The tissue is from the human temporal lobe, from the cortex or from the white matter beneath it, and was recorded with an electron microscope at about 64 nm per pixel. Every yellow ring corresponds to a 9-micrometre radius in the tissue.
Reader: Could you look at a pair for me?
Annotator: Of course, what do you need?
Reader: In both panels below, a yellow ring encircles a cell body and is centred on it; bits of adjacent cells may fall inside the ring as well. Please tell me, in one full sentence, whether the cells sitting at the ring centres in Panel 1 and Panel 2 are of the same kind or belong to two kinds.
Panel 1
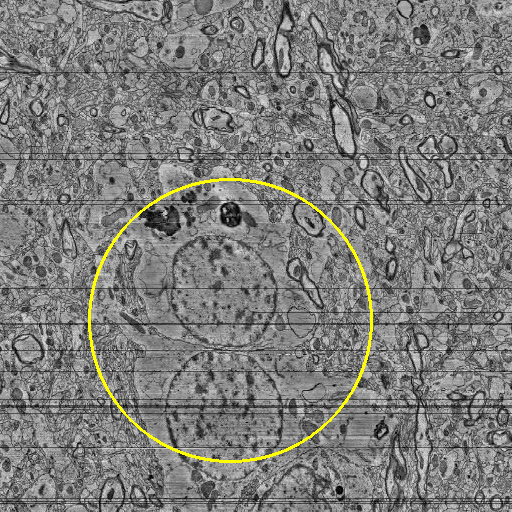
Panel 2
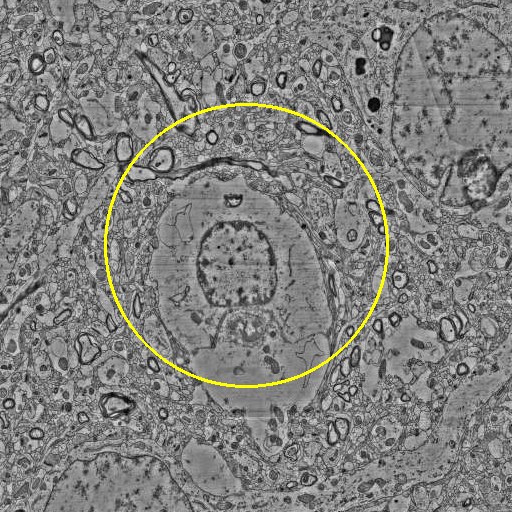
The cell at the ring's centre in Panel 1 and the one in Panel 2 are of the same kind.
